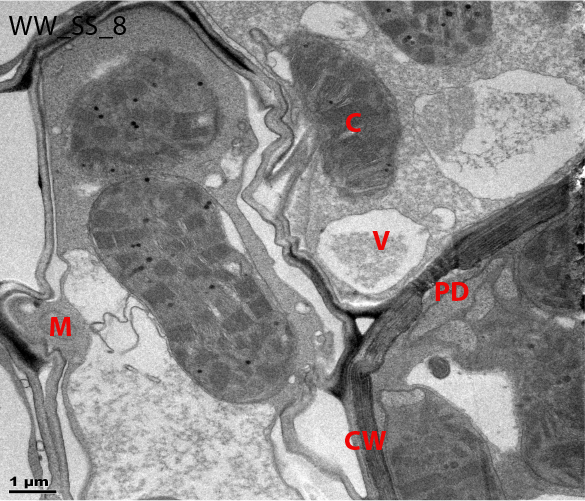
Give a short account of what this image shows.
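The chloroplasts are oval to lens-shaped and contain stacks of internal membranes, the grana, with small dark dots scattered among them. Thick, dark, layered cell walls separate neighbouring cells, and narrow channels of plasmodesmata cross the wall where cells meet. Pale vacuoles with faint fibrous content lie beside the chloroplasts, and a small mitochondrion sits at the cell edge.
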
